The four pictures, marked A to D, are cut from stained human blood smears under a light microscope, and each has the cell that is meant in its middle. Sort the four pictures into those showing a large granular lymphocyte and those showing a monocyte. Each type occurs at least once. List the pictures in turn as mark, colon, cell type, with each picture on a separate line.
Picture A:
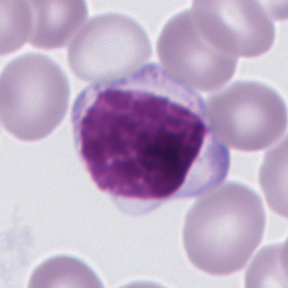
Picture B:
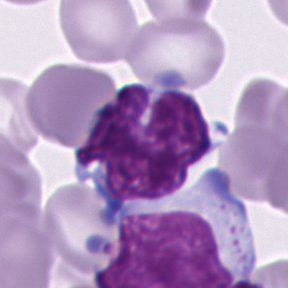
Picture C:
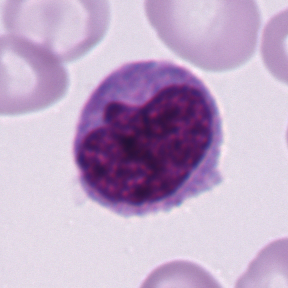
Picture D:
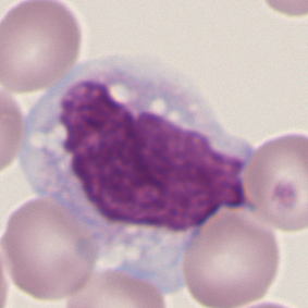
A: large granular lymphocyte
B: large granular lymphocyte
C: monocyte
D: monocyte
